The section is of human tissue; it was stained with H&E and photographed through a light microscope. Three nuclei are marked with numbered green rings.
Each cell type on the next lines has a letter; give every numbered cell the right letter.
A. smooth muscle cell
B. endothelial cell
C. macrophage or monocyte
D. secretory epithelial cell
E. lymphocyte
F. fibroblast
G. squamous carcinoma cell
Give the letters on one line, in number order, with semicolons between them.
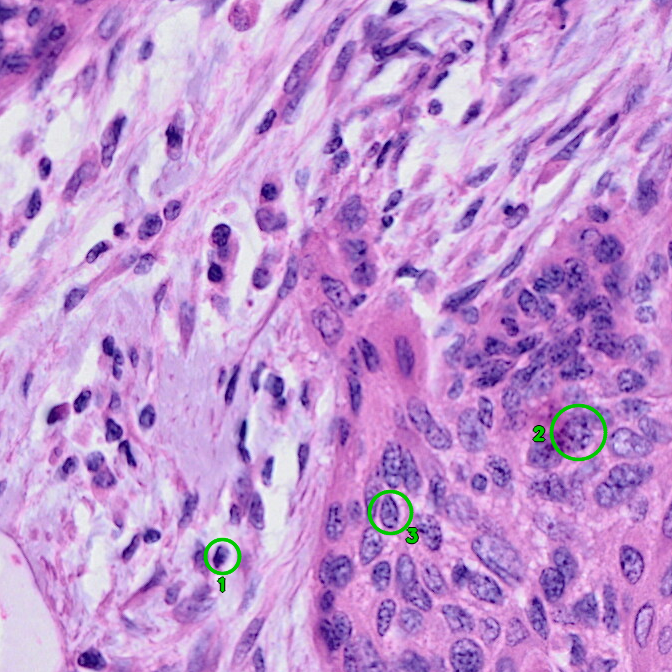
E; G; G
